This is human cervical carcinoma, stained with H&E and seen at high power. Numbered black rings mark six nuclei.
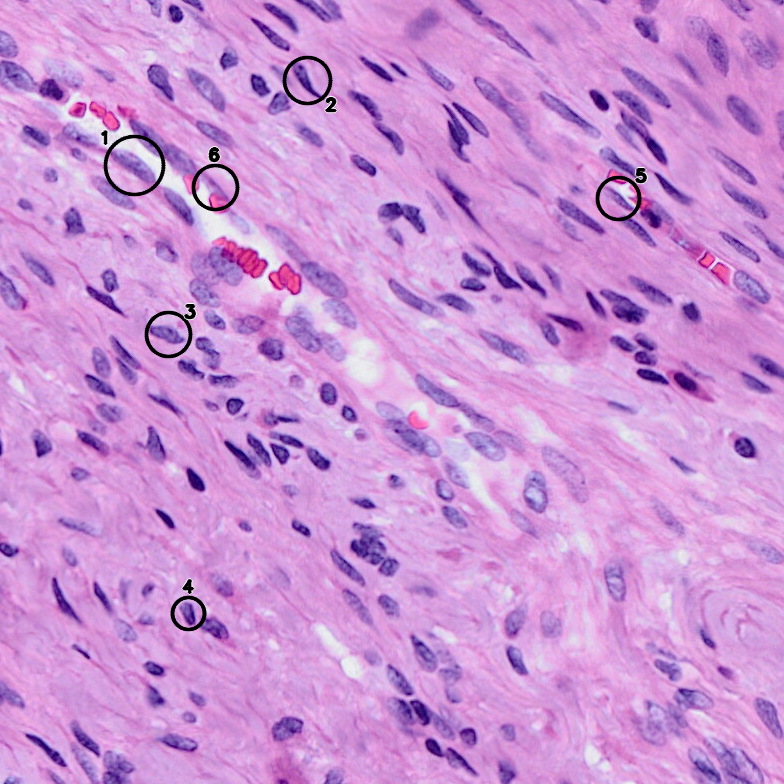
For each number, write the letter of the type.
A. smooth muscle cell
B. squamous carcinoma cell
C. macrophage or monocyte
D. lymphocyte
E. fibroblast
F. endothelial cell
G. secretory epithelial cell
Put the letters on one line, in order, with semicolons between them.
F; E; E; D; F; F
